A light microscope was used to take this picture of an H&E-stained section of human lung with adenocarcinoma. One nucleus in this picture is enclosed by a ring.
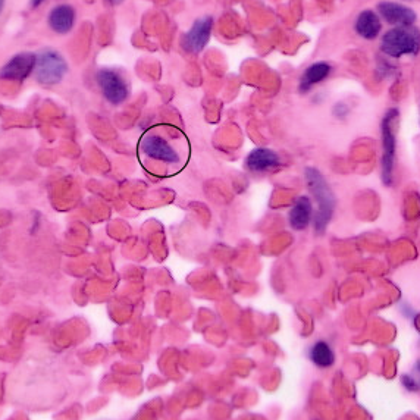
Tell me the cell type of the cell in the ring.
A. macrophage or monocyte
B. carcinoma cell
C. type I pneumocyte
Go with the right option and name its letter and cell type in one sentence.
In short, option C: the cell in the ring is a type I pneumocyte.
